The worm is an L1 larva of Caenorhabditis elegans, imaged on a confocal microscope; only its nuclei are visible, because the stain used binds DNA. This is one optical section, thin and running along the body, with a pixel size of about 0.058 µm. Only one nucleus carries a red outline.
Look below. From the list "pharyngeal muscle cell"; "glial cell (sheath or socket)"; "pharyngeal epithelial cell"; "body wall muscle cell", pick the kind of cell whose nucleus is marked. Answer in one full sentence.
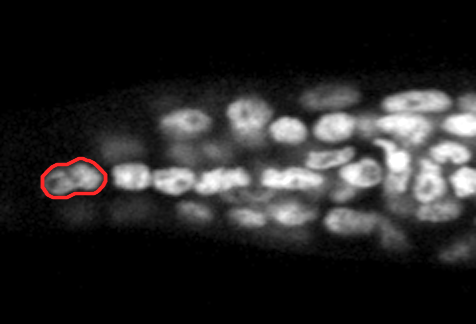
It is the nucleus of a pharyngeal epithelial cell.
